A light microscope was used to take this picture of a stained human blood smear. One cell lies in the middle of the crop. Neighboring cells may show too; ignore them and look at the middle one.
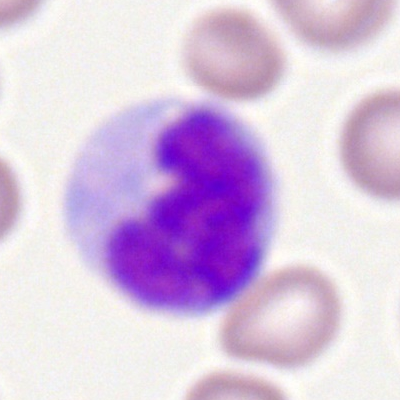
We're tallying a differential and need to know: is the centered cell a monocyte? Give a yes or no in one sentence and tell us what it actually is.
Yes, the cell shown in the middle is a monocyte.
